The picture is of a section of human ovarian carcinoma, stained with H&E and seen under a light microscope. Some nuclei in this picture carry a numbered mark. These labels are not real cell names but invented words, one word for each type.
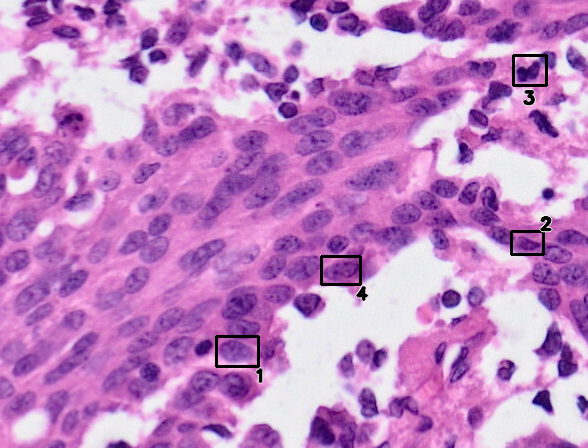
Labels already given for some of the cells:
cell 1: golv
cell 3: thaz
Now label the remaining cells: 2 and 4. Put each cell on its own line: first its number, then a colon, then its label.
2: golv
4: golv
